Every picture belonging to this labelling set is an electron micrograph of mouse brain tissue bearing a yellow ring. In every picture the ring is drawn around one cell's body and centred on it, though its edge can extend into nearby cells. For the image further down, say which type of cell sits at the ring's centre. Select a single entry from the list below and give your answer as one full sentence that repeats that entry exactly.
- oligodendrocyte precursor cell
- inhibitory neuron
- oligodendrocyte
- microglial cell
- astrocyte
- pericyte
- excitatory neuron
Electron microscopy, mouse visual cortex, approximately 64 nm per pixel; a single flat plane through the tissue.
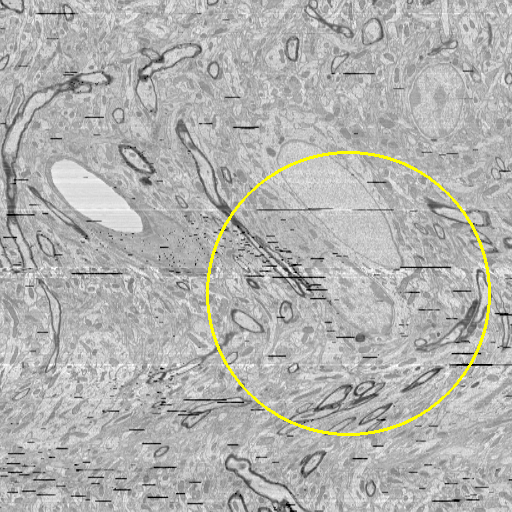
In the picture, an oligodendrocyte is the cell at the centre of the yellow ring.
